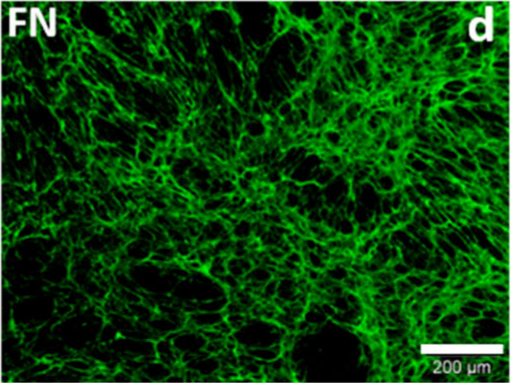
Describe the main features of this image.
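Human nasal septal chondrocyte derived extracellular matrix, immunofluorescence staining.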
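Fine fibres branch and interconnect into a meshwork of irregular polygonal openings. Denser bundles run through the mesh, with darker gaps of varying size between them. No cell bodies or nuclei are seen within the network.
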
